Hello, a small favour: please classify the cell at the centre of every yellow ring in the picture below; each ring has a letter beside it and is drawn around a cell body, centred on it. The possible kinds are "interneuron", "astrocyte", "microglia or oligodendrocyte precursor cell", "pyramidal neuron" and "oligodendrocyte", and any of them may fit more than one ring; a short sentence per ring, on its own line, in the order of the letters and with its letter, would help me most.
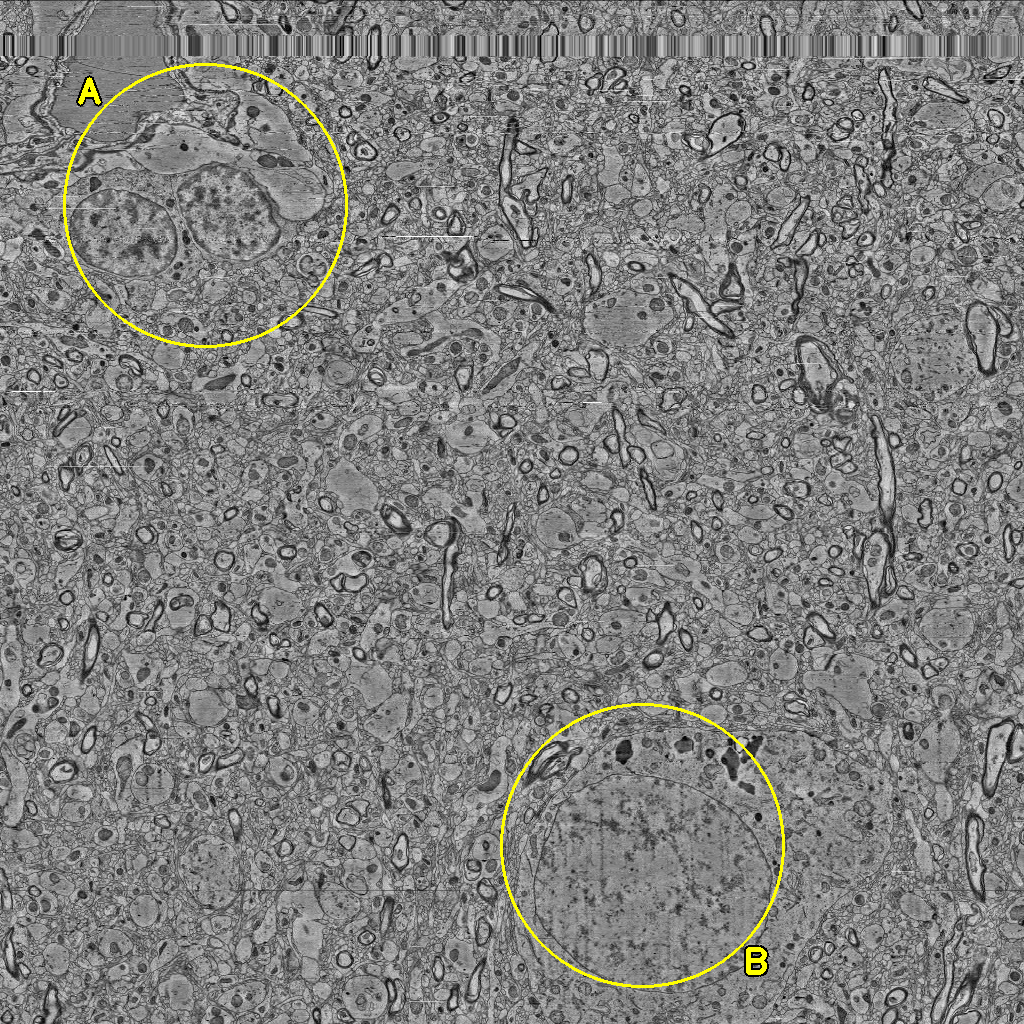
The centre of ring A falls on an oligodendrocyte.
The centre of ring B falls on a pyramidal neuron.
